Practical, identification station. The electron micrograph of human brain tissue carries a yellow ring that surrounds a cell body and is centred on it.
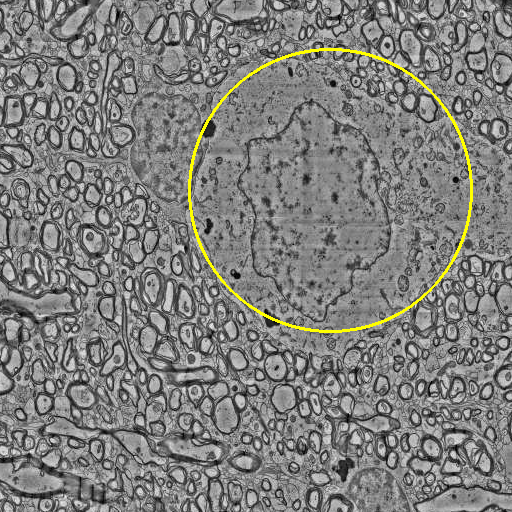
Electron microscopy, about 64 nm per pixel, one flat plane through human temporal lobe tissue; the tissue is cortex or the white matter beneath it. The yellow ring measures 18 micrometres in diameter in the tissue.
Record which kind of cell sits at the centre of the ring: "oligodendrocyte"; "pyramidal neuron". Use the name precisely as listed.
pyramidal neuron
